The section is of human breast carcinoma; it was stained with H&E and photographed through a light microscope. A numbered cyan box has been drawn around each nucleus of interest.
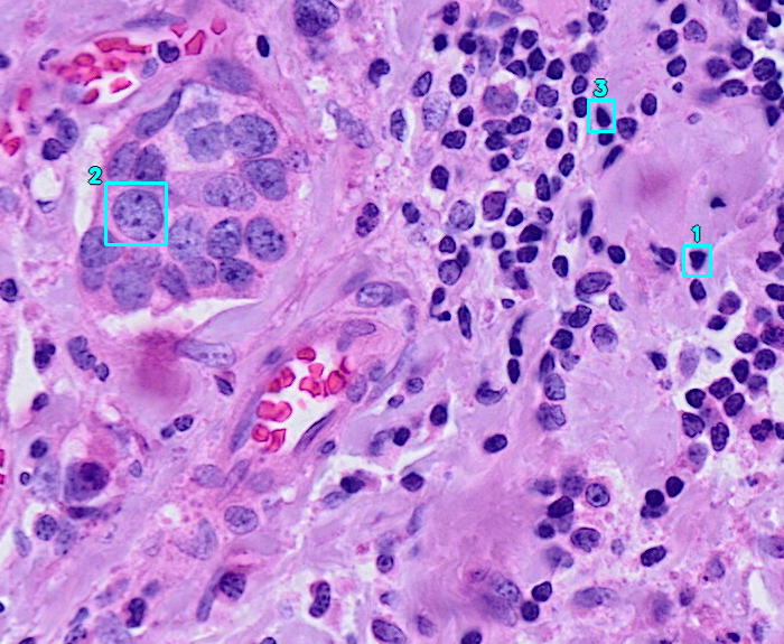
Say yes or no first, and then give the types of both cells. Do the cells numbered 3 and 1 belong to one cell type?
Yes, the numbered cells 3 and 1 are both lymphocytes.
